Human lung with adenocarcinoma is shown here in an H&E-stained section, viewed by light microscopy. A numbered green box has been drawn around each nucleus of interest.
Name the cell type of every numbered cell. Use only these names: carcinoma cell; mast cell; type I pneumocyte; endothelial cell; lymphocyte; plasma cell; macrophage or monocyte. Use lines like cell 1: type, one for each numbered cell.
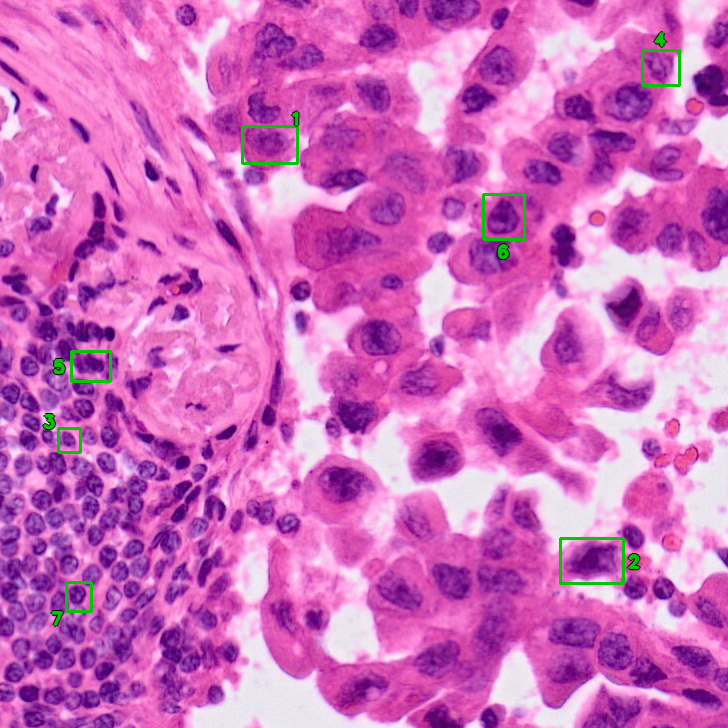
cell 1: carcinoma cell
cell 2: carcinoma cell
cell 3: lymphocyte
cell 4: carcinoma cell
cell 5: lymphocyte
cell 6: carcinoma cell
cell 7: lymphocyte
